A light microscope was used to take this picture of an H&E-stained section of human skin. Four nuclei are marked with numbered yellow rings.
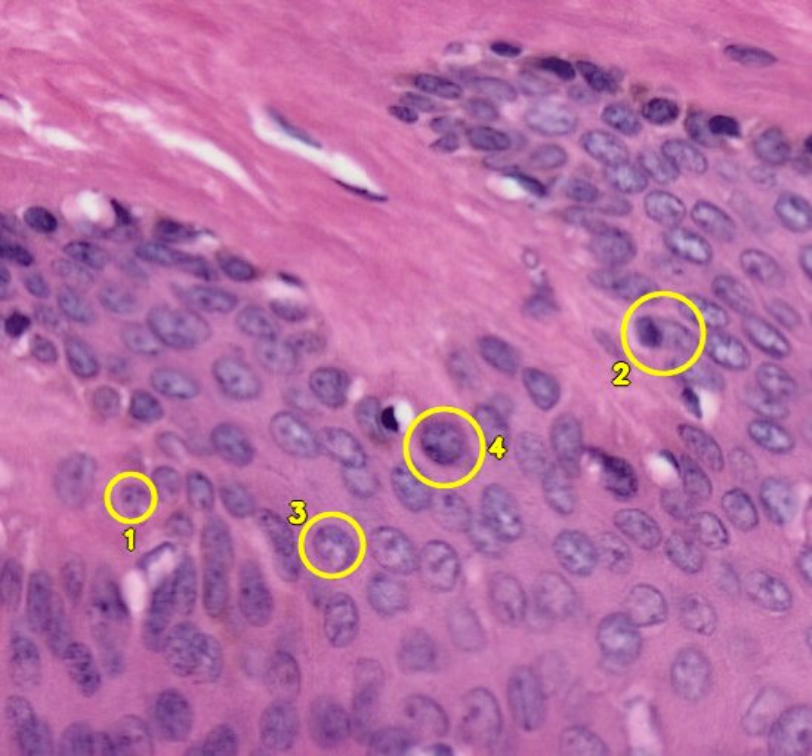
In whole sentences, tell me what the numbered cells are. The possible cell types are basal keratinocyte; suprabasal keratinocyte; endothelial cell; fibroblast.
Cells 1, 2 and 4 are basal keratinocytes. Cell 3 is a suprabasal keratinocyte.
